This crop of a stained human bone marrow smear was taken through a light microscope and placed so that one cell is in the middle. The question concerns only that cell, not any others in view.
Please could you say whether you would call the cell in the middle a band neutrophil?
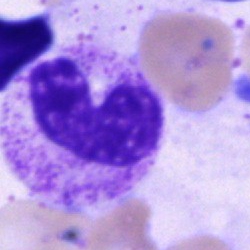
yes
